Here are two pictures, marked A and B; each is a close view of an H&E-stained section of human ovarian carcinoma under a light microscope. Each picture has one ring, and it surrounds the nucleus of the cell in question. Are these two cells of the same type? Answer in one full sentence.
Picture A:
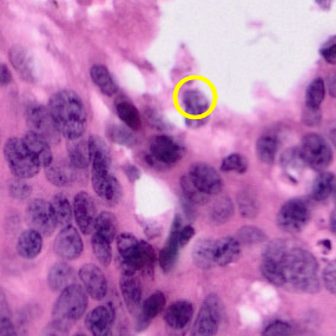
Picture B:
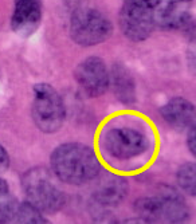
Yes, both are “macrophages or monocytes”.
